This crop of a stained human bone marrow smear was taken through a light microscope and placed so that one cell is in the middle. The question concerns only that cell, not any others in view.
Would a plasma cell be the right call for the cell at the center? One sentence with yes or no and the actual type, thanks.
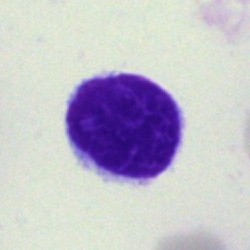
No, that is not a plasma cell; the middle cell is a lymphocyte.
